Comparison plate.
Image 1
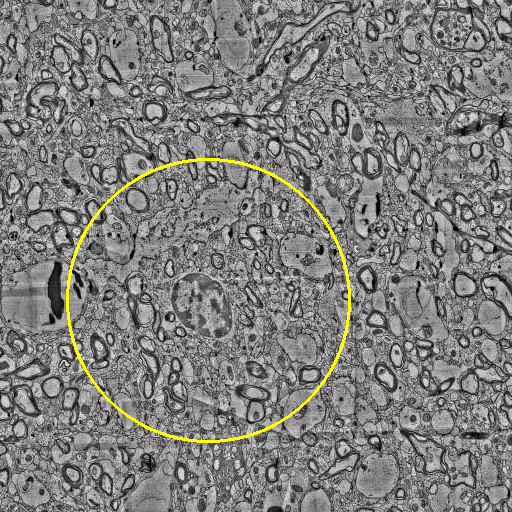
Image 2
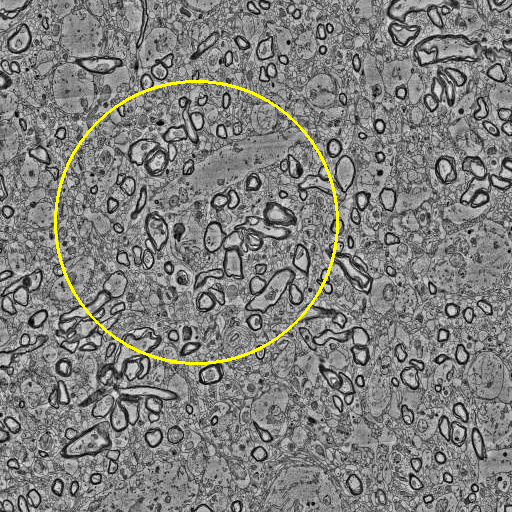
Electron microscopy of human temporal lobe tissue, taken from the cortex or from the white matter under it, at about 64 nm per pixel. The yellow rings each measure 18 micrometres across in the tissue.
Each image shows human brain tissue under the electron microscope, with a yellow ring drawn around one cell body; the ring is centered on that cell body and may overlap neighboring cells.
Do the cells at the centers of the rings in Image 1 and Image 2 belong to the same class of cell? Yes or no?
yes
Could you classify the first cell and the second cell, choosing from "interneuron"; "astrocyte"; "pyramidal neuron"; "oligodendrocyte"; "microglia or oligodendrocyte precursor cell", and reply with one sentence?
Each of the two pictures has a microglial cell or oligodendrocyte precursor cell at the ring centre.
